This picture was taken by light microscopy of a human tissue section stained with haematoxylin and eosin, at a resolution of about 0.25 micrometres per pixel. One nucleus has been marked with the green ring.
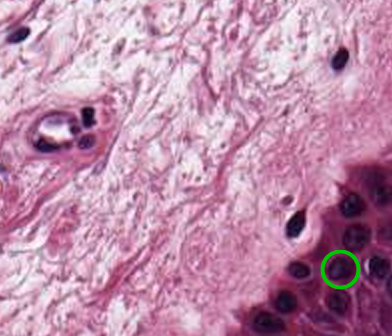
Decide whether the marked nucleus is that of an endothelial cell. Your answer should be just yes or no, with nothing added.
no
